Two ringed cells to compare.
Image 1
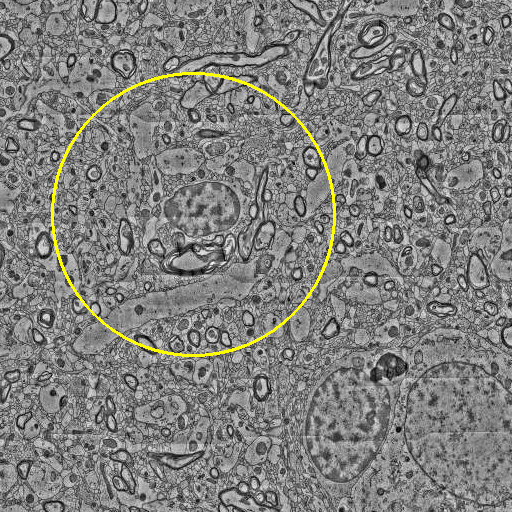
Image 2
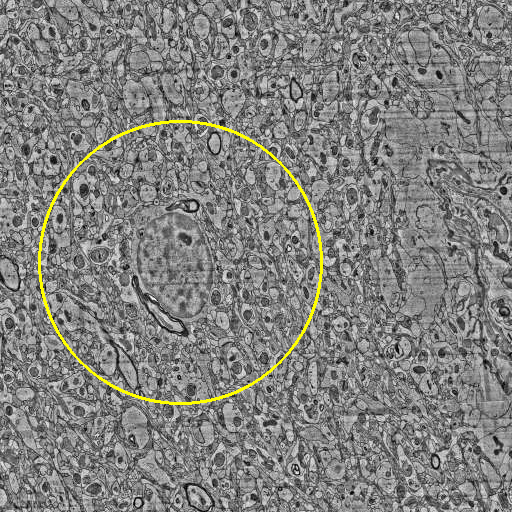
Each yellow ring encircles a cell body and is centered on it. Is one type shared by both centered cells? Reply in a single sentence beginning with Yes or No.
No, two types are found among the cells at the centers of the rings.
